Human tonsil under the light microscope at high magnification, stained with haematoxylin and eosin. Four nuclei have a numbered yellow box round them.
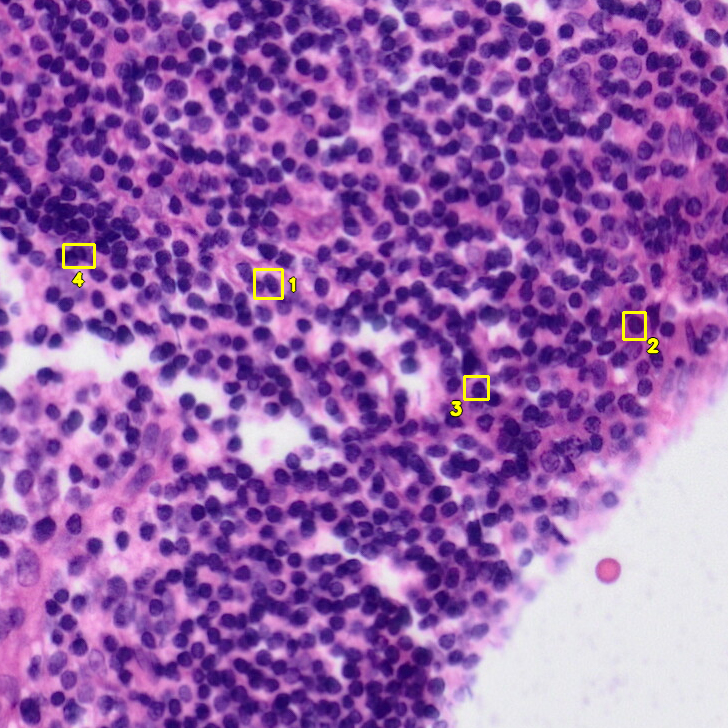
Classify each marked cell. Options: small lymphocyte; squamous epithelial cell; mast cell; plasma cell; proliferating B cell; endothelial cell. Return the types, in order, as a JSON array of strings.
["small lymphocyte", "plasma cell", "small lymphocyte", "small lymphocyte"]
